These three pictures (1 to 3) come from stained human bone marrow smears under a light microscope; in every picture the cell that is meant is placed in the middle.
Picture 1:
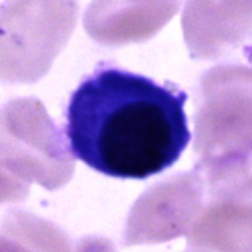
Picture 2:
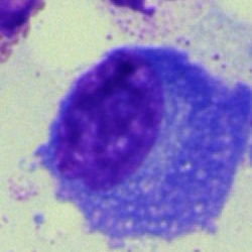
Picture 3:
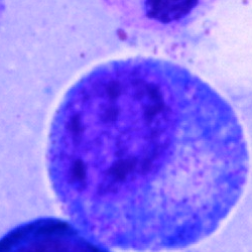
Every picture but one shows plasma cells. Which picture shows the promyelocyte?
3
